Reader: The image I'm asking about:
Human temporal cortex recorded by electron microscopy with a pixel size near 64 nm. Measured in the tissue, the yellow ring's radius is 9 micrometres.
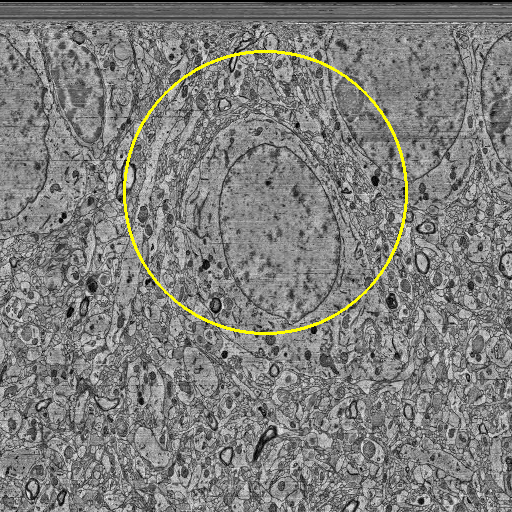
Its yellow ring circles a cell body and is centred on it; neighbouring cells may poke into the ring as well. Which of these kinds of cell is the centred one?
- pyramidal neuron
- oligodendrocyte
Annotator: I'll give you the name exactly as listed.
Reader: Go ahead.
pyramidal neuron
